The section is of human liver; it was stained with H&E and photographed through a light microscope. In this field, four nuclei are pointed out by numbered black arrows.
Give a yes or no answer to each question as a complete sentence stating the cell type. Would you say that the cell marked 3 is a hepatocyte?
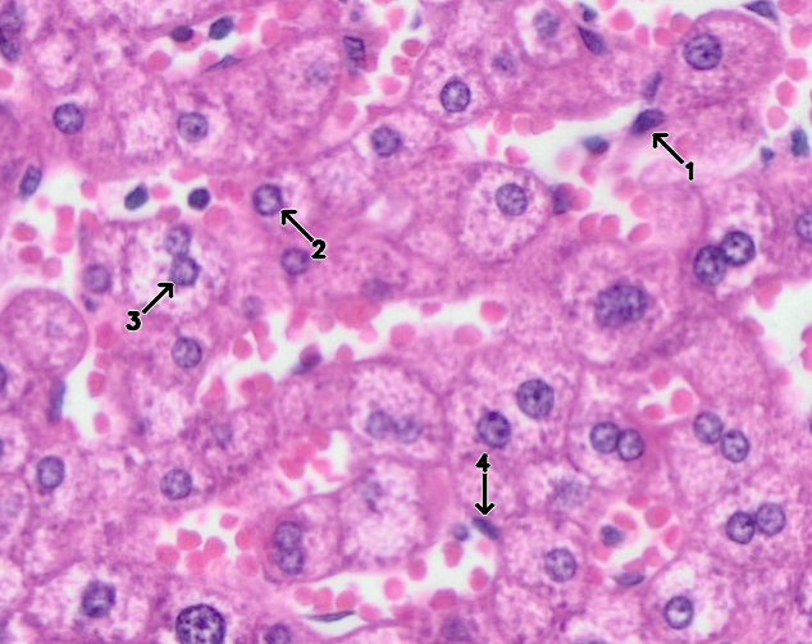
Yes, the cell that is numbered 3 is a hepatocyte.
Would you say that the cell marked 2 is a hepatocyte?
Yes, regarding cell number 2, it is a hepatocyte.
